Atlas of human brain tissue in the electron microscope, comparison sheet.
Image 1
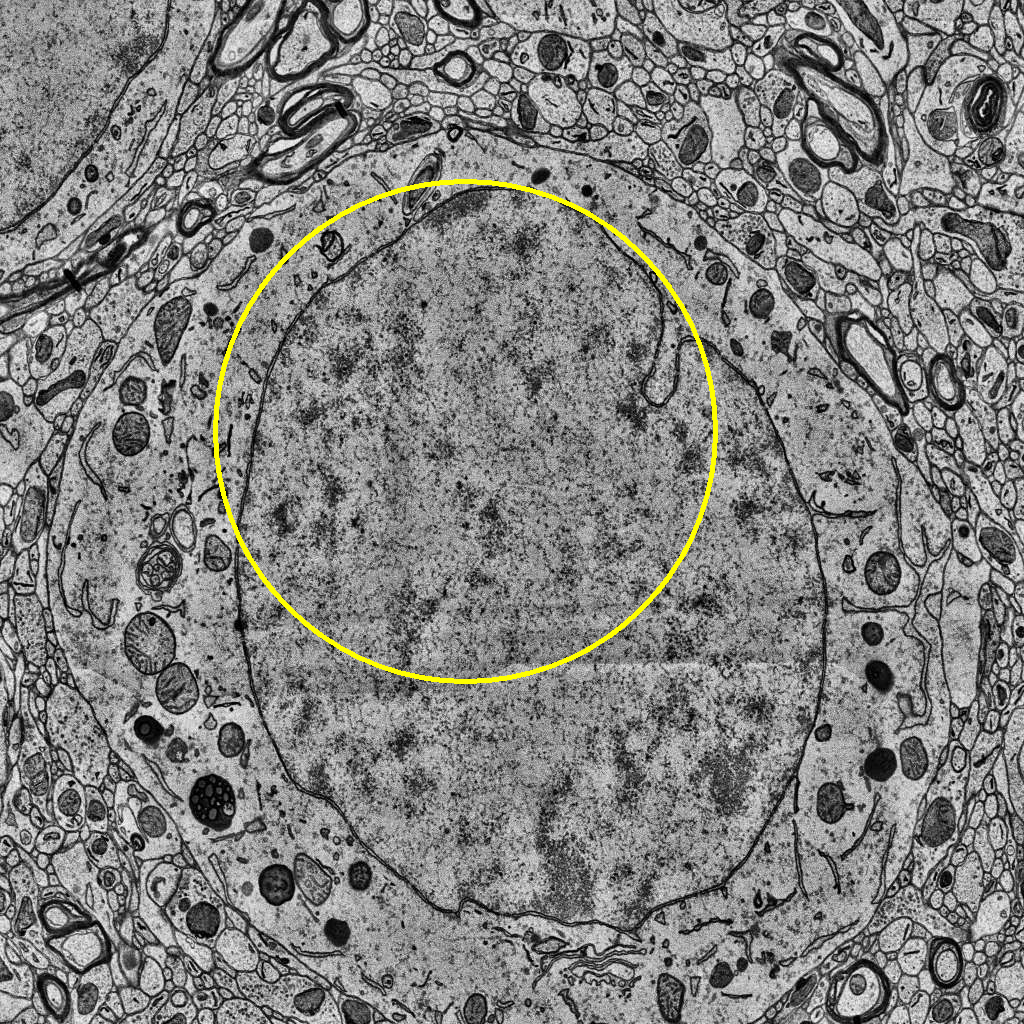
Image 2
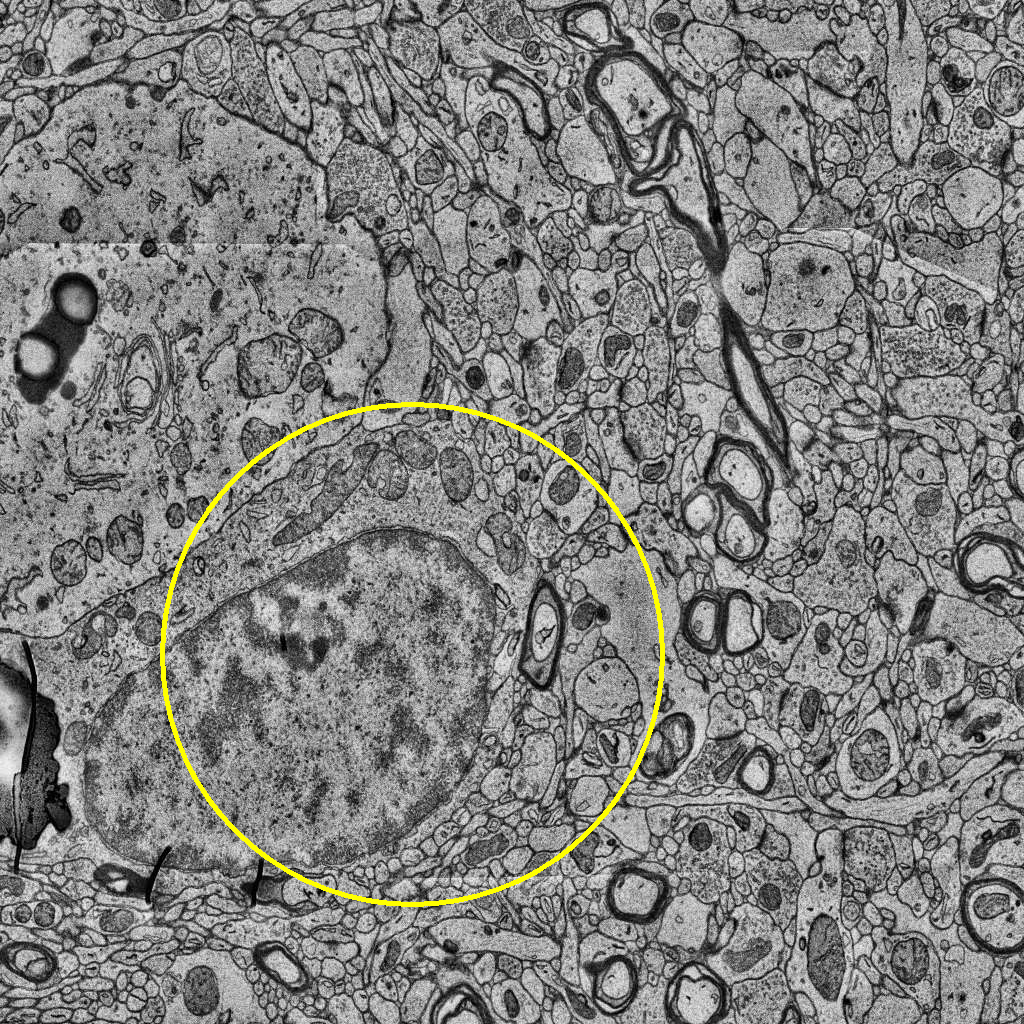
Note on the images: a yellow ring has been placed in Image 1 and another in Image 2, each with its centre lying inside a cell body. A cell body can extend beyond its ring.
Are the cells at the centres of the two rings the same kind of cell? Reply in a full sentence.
No, the two cells are of two kinds.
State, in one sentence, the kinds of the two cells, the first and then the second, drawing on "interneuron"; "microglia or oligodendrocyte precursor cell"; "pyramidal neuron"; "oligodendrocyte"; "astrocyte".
In the first picture we have a pyramidal neuron, and in the second, an oligodendrocyte.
